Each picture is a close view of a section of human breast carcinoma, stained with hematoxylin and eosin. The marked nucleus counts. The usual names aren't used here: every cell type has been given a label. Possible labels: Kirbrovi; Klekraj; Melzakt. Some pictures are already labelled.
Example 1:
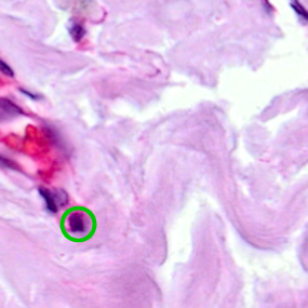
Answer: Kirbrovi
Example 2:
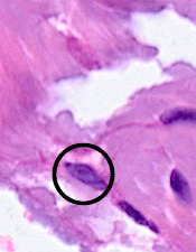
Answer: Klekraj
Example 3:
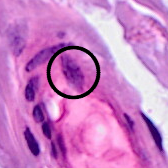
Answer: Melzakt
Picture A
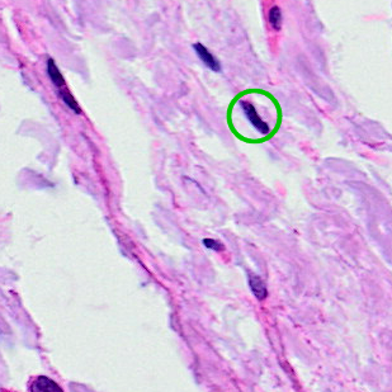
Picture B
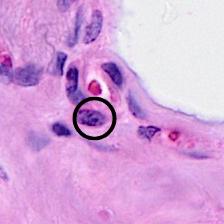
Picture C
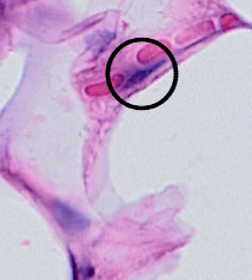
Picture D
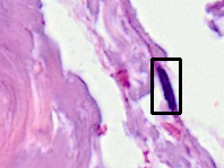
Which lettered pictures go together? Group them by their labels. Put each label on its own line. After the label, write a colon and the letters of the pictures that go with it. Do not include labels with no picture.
Kirbrovi: B
Klekraj: A, D
Melzakt: C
